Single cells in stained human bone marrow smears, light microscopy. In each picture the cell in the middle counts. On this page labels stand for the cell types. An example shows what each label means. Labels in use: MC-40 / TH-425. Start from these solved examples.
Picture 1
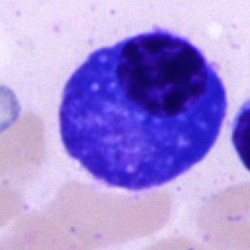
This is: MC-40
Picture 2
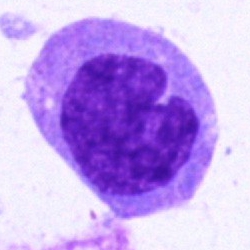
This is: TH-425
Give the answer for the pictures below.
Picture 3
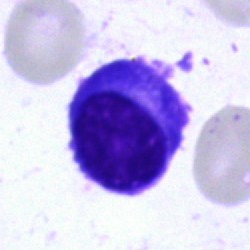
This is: MC-40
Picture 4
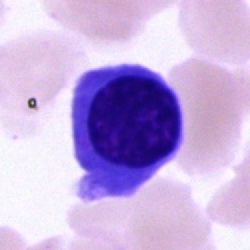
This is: MC-40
